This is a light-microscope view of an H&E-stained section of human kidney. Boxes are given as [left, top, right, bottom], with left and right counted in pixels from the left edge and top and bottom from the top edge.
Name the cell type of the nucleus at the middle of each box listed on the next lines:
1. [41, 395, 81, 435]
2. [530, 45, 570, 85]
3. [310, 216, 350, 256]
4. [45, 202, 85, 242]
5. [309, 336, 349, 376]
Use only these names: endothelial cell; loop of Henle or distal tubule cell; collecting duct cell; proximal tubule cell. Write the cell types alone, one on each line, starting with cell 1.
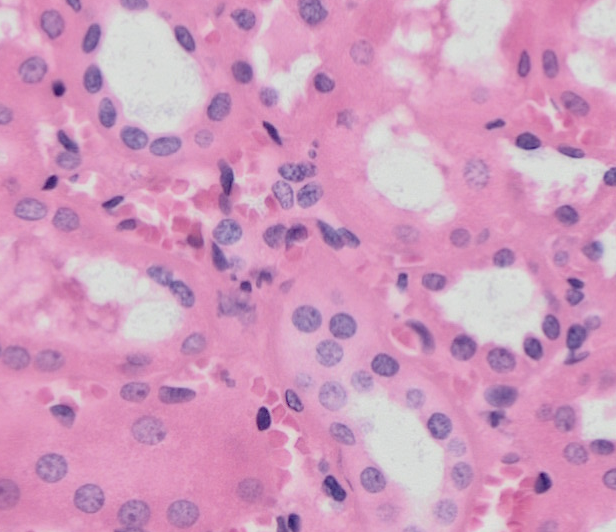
endothelial cell
proximal tubule cell
endothelial cell
proximal tubule cell
collecting duct cell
